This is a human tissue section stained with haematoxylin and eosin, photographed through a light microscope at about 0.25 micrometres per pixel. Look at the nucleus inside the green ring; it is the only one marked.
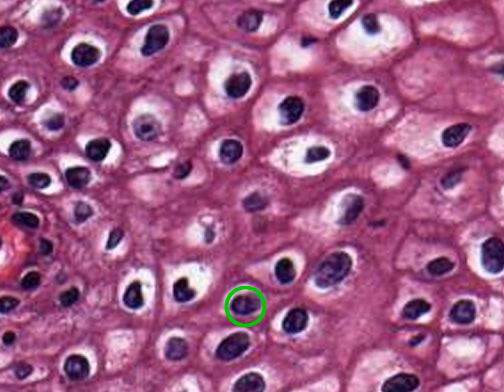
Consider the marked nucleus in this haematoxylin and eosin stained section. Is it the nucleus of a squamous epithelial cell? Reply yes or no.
yes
